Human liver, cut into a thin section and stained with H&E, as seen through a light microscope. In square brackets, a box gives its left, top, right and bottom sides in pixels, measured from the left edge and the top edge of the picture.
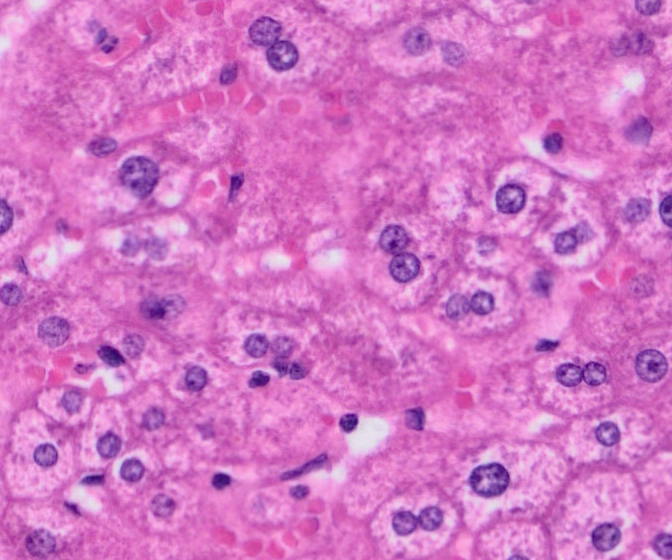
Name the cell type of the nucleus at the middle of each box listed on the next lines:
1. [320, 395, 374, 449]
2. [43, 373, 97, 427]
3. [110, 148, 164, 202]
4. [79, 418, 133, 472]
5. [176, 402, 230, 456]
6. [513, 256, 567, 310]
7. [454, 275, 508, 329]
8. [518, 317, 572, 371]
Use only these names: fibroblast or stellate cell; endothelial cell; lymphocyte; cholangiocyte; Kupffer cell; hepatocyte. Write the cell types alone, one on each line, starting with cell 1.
lymphocyte
hepatocyte
hepatocyte
hepatocyte
hepatocyte
endothelial cell
hepatocyte
endothelial cell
